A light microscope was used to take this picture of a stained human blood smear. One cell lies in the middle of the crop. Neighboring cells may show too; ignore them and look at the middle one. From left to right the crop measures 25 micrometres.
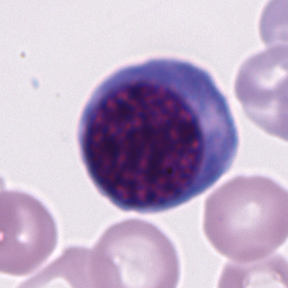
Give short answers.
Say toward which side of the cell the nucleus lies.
lower left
